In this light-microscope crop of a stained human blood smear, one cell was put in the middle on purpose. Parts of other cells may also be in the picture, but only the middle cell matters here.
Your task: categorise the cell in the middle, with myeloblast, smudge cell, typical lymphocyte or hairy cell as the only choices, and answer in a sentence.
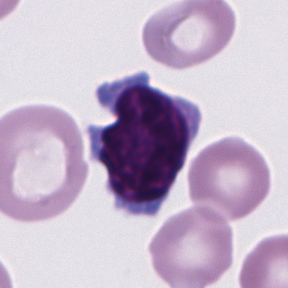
The cell centered in this field of view is a typical lymphocyte.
